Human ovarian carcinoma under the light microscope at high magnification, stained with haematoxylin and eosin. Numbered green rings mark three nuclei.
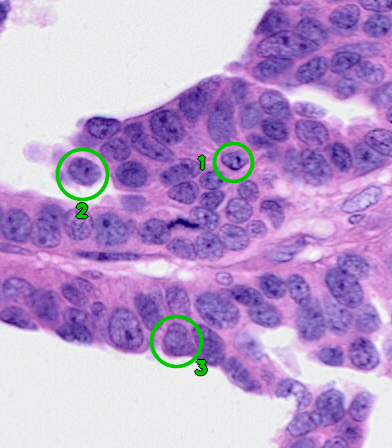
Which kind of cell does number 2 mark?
carcinoma cell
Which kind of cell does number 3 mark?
carcinoma cell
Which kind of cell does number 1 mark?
macrophage or monocyte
